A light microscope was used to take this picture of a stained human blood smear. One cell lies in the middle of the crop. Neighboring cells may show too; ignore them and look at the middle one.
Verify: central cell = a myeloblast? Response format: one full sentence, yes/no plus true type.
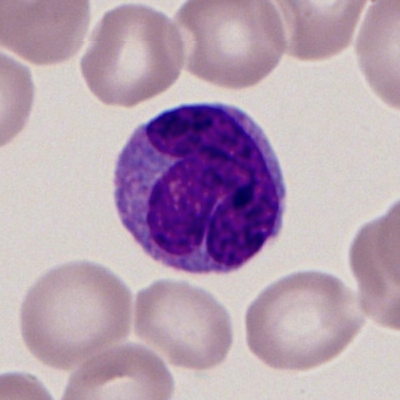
No, the central cell is not a myeloblast; it is a monocyte instead.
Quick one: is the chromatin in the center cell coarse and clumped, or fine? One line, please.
What stands out is chromatin that is coarsely clumped.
